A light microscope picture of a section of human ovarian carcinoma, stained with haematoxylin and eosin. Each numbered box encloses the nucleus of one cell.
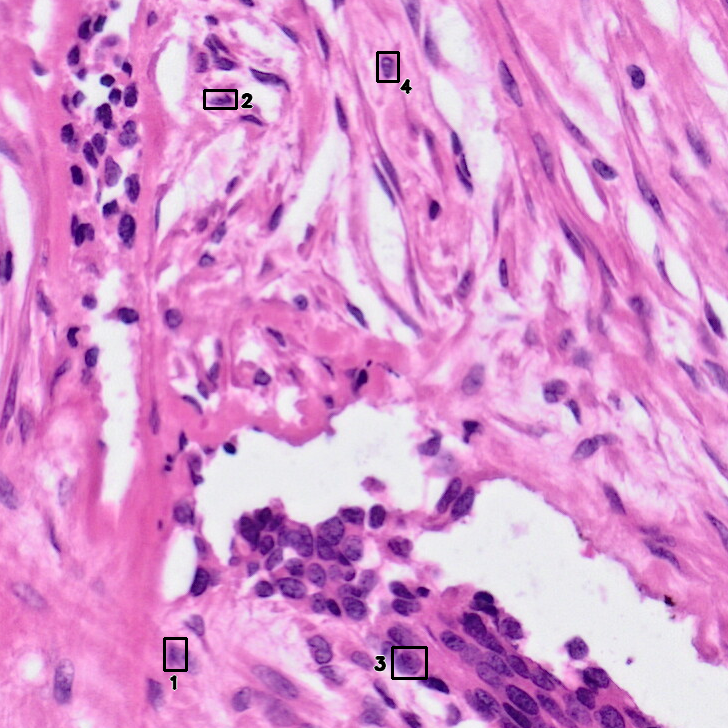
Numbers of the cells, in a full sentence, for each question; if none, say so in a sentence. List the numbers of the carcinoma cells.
Nothing but cell 3 is a carcinoma cell among the numbered ones.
